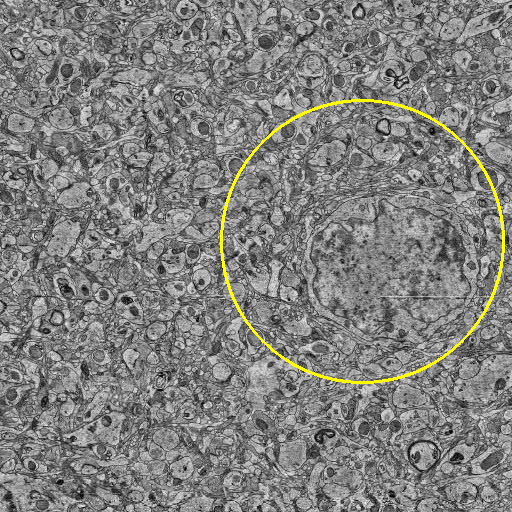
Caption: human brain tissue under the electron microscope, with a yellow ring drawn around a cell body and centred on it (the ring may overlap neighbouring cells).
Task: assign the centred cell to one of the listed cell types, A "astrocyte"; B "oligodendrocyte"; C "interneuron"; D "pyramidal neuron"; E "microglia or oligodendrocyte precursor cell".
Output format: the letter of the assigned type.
C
